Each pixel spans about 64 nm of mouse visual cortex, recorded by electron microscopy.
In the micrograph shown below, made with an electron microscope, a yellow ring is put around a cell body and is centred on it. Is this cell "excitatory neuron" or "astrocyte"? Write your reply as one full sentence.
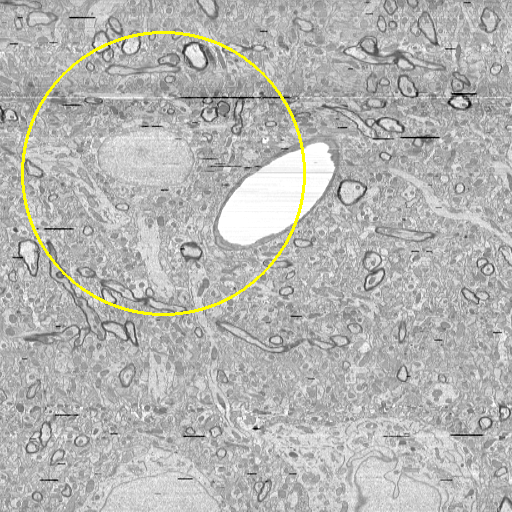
In the micrograph, an astrocyte is the cell at the centre of the yellow ring.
